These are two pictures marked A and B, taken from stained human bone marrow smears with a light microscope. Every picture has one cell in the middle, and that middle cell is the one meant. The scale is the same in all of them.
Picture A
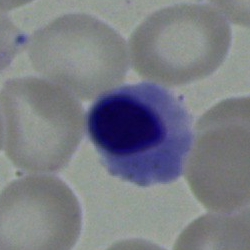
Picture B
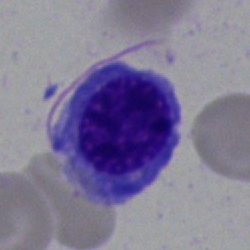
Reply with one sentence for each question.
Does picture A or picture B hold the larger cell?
Picture B holds the larger cell; it covers about 1.5 times the area of the cell in picture A.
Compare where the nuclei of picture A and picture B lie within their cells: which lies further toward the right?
The nucleus in picture B lies further toward the right of its cell.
